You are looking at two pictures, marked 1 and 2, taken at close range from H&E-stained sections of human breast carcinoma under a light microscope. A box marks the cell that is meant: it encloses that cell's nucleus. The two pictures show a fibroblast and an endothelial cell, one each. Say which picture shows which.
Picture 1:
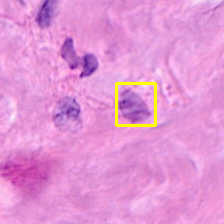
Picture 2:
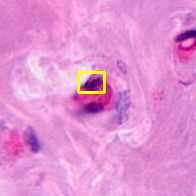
1: fibroblast
2: endothelial cell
